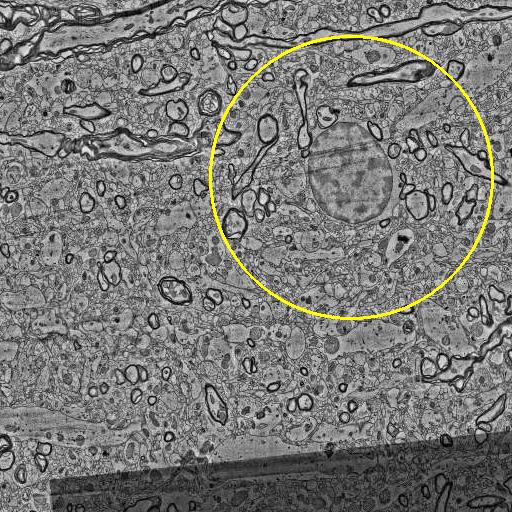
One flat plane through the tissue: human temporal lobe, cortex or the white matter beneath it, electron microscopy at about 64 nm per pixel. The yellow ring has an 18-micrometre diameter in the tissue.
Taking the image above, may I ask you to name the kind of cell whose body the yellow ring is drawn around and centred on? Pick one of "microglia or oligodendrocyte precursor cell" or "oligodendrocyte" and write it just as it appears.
oligodendrocyte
